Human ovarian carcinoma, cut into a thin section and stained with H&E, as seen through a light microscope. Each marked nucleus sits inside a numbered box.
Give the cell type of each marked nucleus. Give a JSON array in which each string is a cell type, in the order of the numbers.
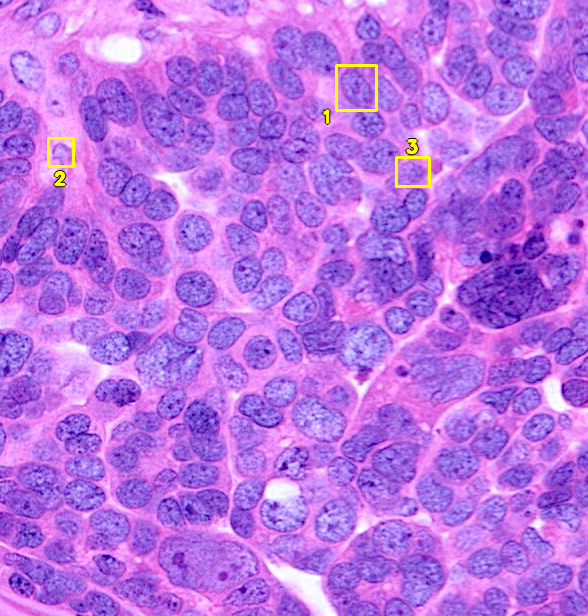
["carcinoma cell", "fibroblast", "carcinoma cell"]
